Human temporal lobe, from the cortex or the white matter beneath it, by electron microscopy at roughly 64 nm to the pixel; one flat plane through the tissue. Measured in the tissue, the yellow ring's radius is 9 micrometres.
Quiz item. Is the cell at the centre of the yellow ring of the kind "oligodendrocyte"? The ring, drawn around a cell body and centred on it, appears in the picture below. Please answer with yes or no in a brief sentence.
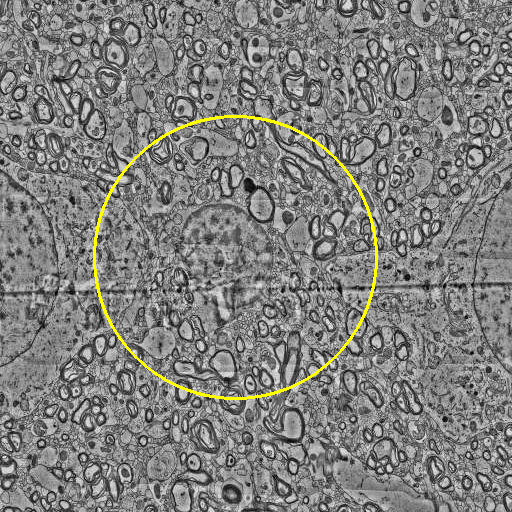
Yes, it is that kind of cell.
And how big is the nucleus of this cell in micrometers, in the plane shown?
The nucleus of the ringed cell is approximately 7 by 6 micrometres in this plane.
